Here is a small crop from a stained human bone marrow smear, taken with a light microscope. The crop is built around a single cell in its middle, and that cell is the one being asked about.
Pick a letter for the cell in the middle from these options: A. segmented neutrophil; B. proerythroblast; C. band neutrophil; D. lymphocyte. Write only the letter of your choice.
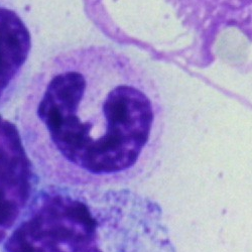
C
